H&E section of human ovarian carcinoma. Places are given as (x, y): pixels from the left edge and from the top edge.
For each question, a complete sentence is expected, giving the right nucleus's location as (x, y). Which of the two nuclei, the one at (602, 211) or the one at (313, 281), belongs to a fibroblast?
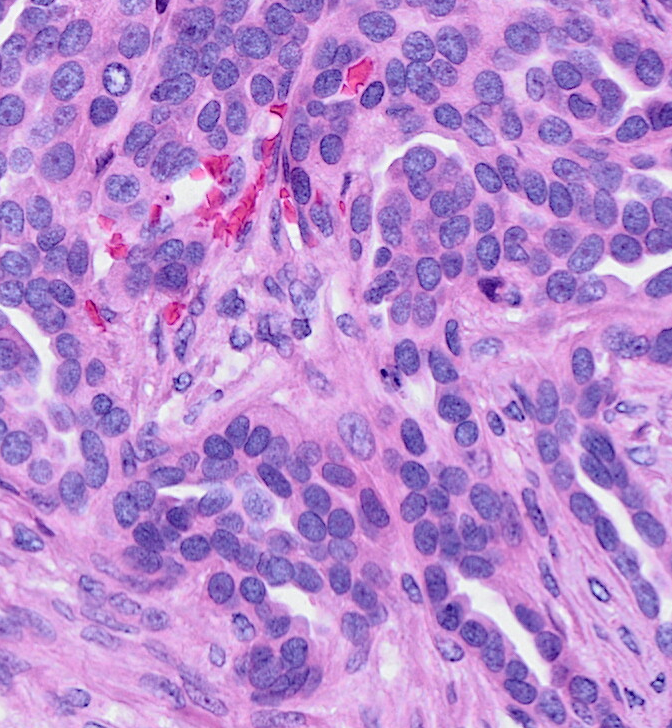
The nucleus at (313, 281), rather than the other, belongs to a fibroblast.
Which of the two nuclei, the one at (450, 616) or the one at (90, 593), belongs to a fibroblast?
The nucleus whose position is (90, 593) belongs to a fibroblast.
